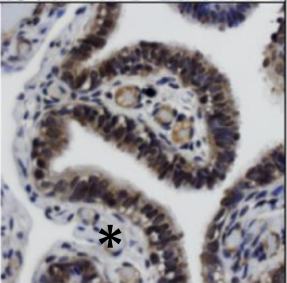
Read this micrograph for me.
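This is the mucosa of the fallopian tube, with branching folds lined by a single layer of tall columnar epithelial cells over a core of stroma. The epithelial cells stain strongly brown, both their elongated nuclei and cytoplasm, so the lining stands out as a dark band around each fold. The stromal cores are pale, with small blue nuclei of connective tissue cells and small vessels containing yellowish-brown red blood cells. The lumen between the folds is empty and clear, and the epithelial lining looks crowded, its nuclei stacked at slightly different heights.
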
